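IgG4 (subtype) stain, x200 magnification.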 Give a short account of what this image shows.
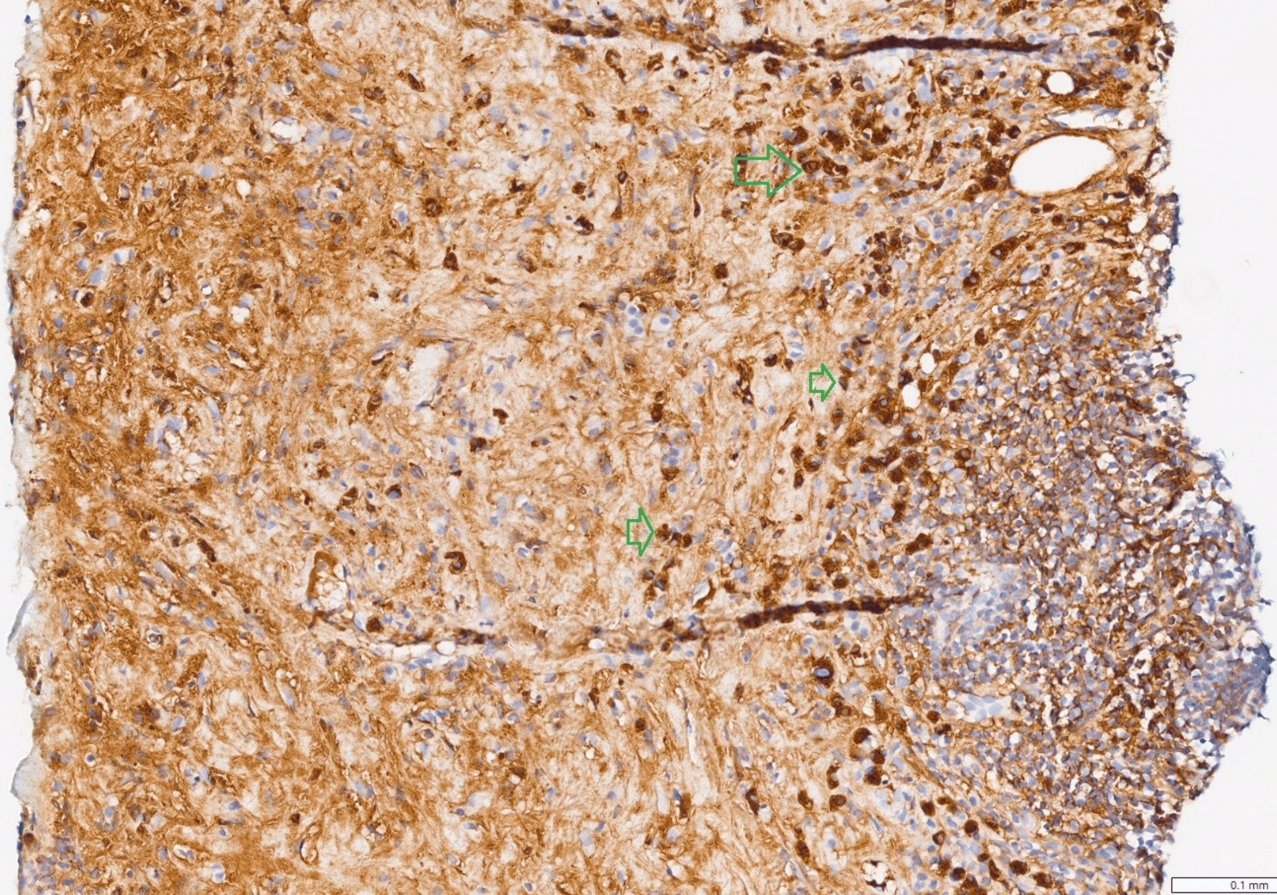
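A fibrous tissue with a diffuse pale-to-mid brown background holds many scattered and clustered cells whose cytoplasm stains a dense, dark brown. These intensely stained cells are rounded to oval, and some show a nucleus set within the brown cytoplasm; they gather in tight groups in places, especially toward the upper right. Between them lie spindle-shaped and oval cells with pale blue nuclei and no strong brown staining, set in a wavy, swirling stroma. On the right edge a densely cellular area of small round blue nuclei is seen, and a few clear vascular lumina are visible near the top. The darkly stained rounded cells in clusters are plasma cells lying within a fibrotic, inflamed stroma.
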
